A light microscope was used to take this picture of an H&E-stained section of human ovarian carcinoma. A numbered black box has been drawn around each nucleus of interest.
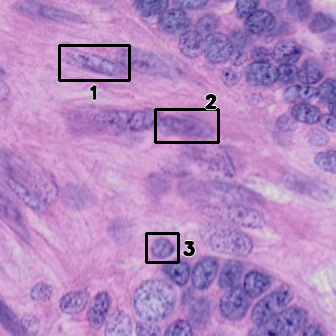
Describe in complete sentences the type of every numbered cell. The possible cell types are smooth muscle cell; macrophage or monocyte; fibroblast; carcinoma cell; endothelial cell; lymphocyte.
Cell 1 is a fibroblast, cell 2 is a fibroblast and cell 3 is a macrophage or monocyte.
